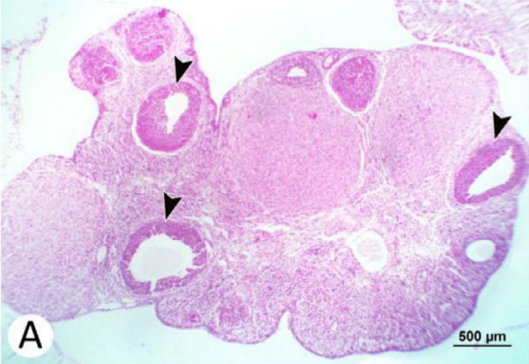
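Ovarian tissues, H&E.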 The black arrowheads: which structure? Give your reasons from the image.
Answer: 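Tertiary follicle. Each arrowhead points to a round structure with a clear central cavity. The cavity is surrounded by a thick, dense pink ring of layered cells. Three such cavity-bearing structures sit near the edge of the section.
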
